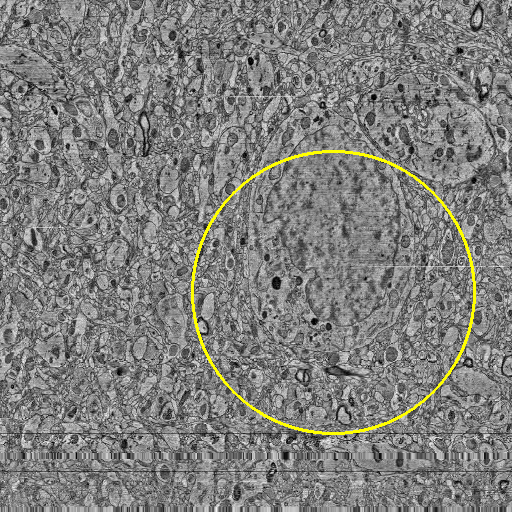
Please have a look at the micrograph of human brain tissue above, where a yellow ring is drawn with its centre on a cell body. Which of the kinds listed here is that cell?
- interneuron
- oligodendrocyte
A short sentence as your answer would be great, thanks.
At the centre of the ring sits an interneuron.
